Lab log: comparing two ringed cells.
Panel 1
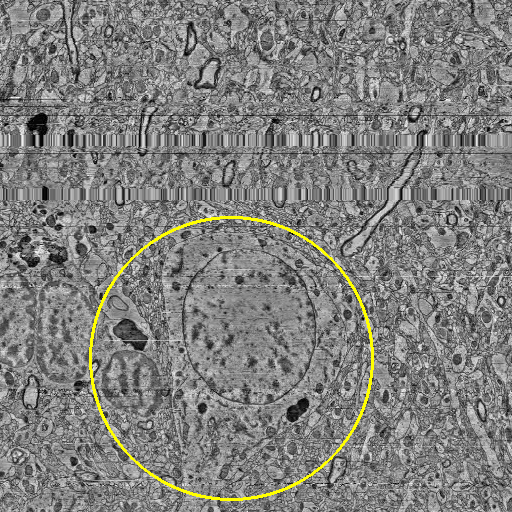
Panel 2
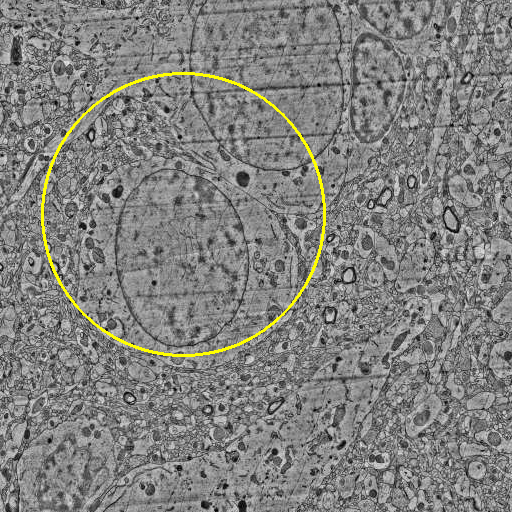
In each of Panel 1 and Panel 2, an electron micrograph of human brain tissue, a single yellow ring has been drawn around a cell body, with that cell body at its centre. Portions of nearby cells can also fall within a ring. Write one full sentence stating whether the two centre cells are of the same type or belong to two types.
The cells at the ring centres in Panel 1 and Panel 2 are of the same type.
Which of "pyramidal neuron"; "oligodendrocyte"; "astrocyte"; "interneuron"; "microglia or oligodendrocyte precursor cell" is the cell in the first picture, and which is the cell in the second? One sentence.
Each cell at the centre of a ring is a pyramidal neuron.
